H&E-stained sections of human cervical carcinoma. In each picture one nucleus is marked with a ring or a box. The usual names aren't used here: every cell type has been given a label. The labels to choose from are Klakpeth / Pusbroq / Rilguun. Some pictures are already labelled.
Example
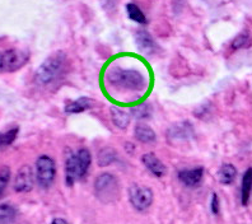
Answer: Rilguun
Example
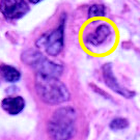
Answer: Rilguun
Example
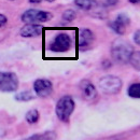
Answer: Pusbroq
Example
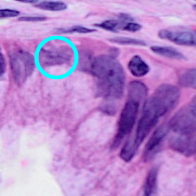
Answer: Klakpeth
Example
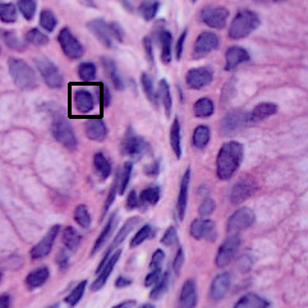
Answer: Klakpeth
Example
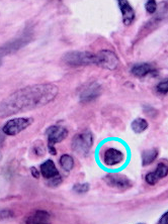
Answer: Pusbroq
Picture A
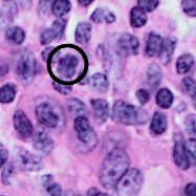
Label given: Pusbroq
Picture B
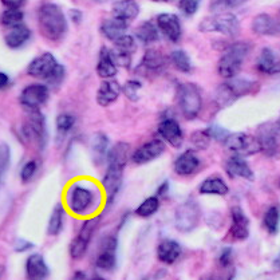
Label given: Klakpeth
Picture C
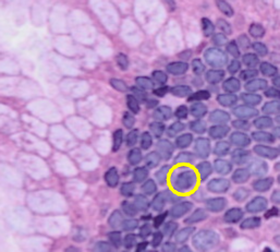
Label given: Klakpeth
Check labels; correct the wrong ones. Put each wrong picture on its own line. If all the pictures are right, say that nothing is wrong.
Wrong: B (Klakpeth); correct: Pusbroq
